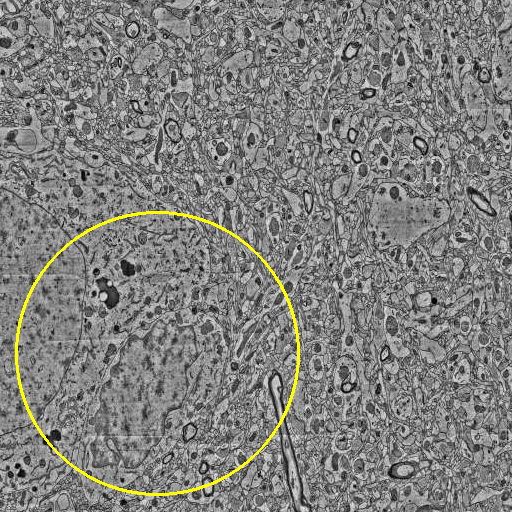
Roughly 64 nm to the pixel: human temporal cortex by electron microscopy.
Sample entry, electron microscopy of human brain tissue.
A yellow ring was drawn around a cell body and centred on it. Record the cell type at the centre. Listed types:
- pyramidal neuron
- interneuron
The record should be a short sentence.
The cell at the ring's centre is an interneuron.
